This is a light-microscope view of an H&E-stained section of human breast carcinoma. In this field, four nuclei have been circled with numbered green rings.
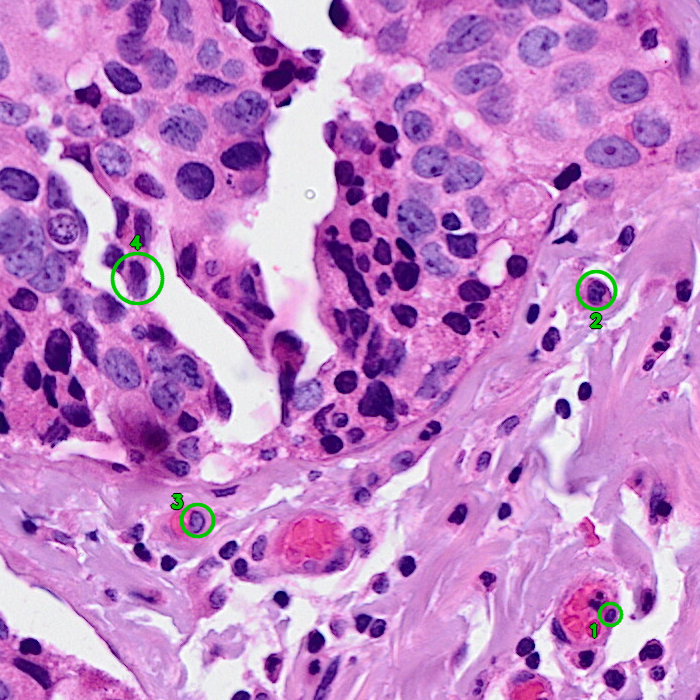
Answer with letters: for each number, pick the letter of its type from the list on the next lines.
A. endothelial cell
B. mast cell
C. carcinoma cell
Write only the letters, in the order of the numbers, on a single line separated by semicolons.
A; B; A; C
